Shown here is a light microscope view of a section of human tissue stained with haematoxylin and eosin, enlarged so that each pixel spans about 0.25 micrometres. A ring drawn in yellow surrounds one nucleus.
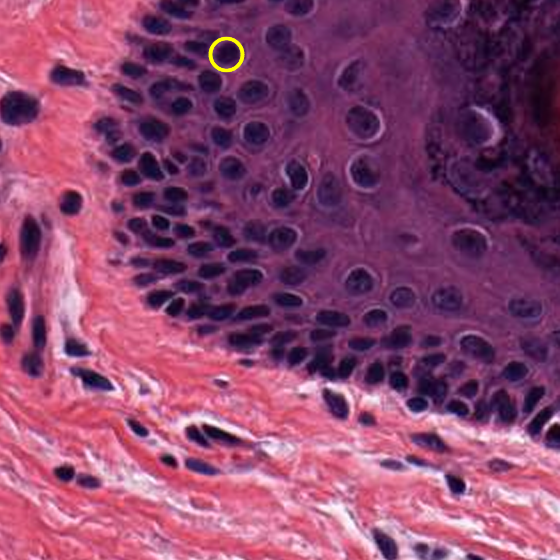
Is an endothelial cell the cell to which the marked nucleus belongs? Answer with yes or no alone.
no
